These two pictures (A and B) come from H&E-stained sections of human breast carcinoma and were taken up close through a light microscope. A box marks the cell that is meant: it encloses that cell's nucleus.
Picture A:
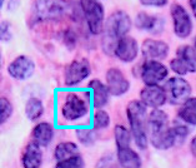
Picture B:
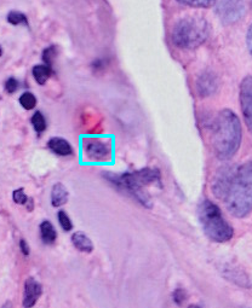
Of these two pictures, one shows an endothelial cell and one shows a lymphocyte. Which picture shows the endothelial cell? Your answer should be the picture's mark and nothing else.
B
